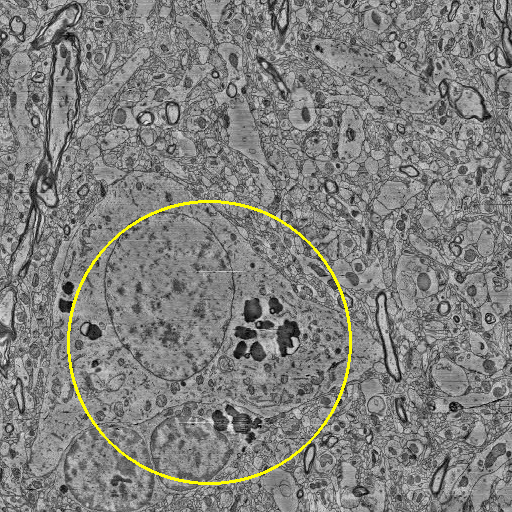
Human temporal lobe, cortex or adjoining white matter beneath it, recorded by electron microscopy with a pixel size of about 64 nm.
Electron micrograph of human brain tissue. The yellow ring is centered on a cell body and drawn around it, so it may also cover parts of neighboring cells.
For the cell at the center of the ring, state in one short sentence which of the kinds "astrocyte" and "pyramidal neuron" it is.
This ring is centered on a pyramidal neuron.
